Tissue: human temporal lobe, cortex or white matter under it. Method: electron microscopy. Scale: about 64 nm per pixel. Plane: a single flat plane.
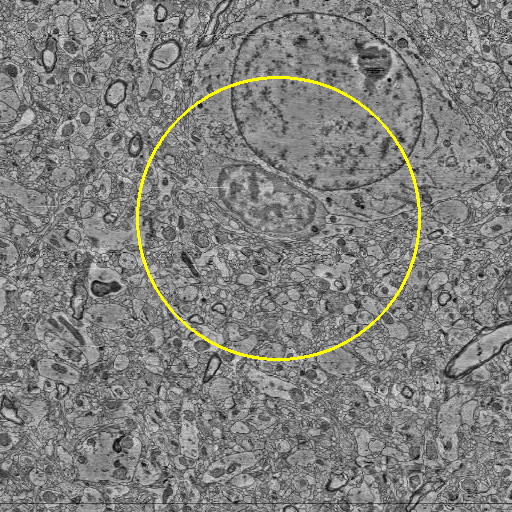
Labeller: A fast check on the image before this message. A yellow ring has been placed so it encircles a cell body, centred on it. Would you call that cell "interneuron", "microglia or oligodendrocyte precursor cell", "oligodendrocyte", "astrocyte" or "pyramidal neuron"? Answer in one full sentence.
In this image, an oligodendrocyte is the cell on which the yellow ring is centred.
